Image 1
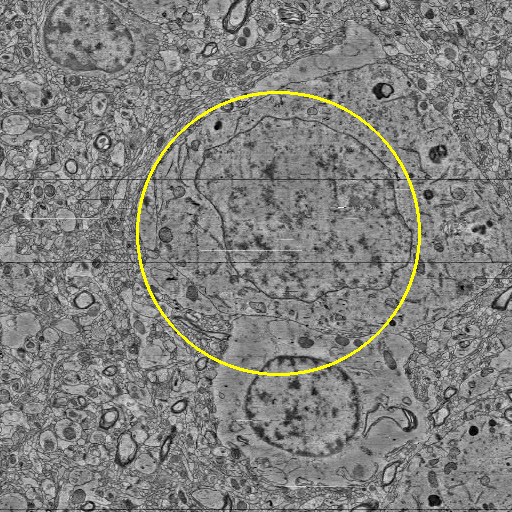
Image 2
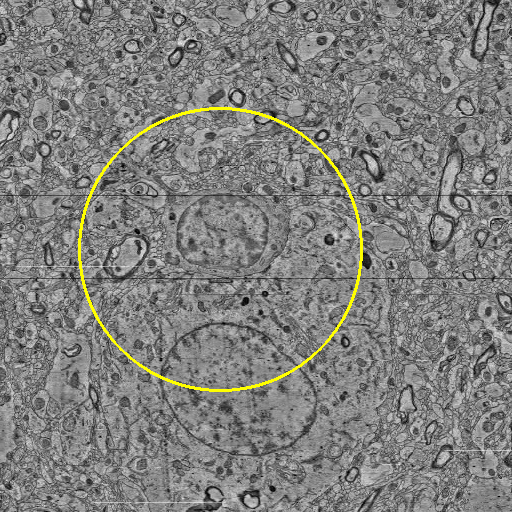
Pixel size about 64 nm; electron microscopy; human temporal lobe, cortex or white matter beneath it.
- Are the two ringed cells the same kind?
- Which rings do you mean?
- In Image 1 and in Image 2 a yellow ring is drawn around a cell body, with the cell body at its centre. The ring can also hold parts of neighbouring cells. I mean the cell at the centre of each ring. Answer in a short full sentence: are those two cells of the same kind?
No, the cells are of two kinds.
